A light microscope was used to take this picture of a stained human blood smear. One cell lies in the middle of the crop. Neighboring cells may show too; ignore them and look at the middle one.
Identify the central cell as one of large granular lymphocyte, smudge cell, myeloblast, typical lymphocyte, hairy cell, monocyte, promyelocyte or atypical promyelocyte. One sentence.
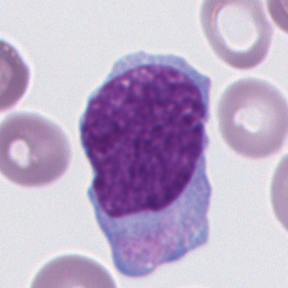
This crop's central cell is an atypical promyelocyte.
